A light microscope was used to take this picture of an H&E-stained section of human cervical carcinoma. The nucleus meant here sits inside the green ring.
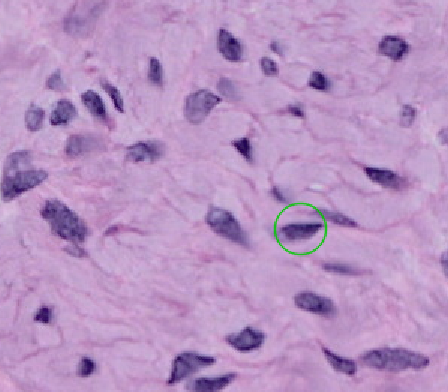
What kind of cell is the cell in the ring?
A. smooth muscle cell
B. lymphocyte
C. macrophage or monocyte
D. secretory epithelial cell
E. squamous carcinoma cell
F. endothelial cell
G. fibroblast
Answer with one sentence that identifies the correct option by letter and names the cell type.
Option G is correct; the cell in the ring is a fibroblast.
